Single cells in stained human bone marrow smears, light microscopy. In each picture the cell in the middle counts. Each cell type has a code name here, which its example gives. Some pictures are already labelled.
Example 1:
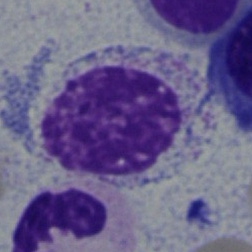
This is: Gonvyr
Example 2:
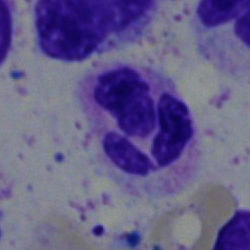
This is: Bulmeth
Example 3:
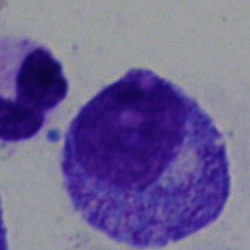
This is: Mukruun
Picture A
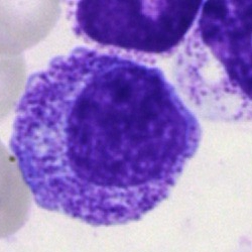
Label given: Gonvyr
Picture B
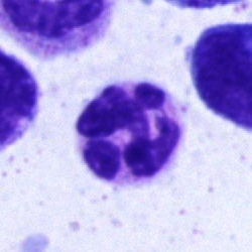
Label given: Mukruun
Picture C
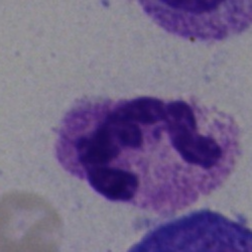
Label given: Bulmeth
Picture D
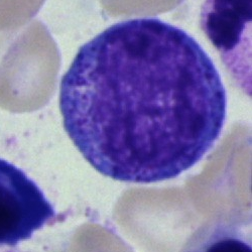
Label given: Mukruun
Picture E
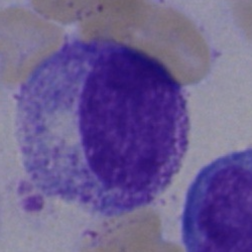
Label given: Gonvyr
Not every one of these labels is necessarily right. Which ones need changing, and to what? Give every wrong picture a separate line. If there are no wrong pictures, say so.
B is labelled Mukruun; correct label: Bulmeth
